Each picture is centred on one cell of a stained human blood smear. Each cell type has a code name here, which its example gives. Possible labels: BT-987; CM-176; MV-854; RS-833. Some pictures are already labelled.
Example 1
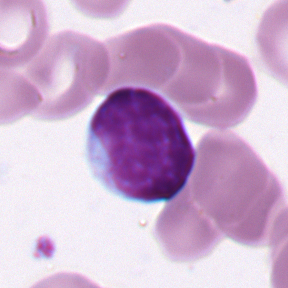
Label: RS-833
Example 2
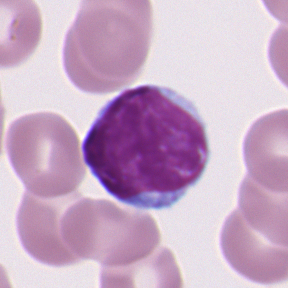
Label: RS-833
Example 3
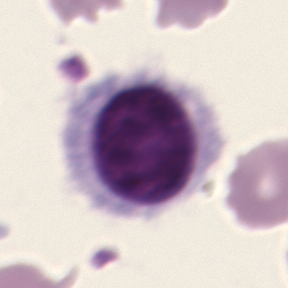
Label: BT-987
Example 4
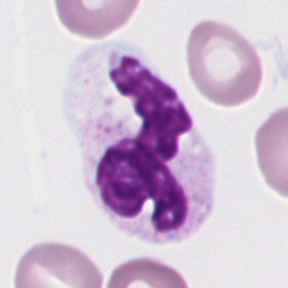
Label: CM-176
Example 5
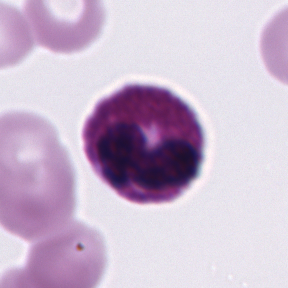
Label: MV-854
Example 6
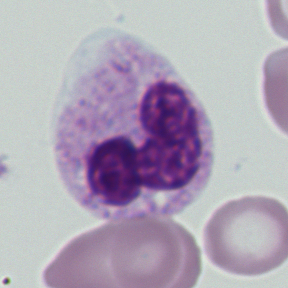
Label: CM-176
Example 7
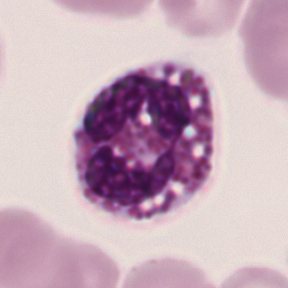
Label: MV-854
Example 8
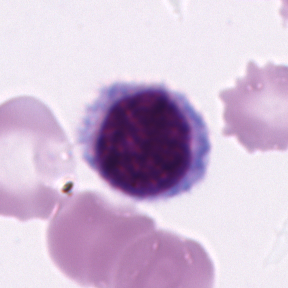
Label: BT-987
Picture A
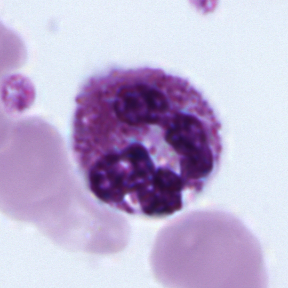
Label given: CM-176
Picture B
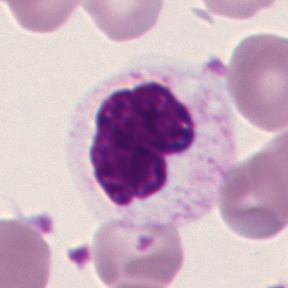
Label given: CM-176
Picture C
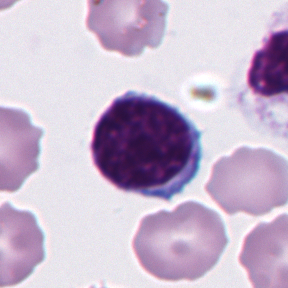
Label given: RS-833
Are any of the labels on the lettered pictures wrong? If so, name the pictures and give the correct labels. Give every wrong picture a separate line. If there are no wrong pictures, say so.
A: not CM-176 but MV-854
